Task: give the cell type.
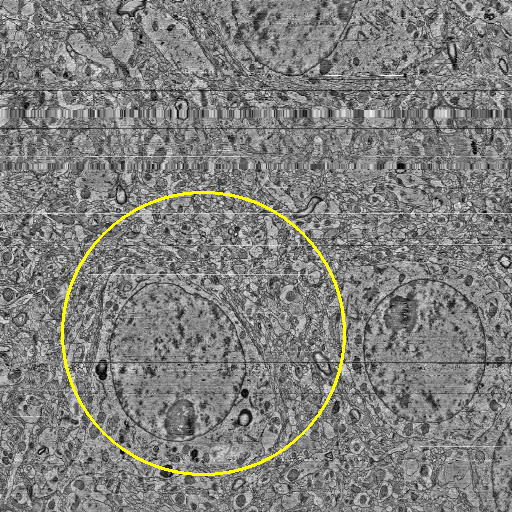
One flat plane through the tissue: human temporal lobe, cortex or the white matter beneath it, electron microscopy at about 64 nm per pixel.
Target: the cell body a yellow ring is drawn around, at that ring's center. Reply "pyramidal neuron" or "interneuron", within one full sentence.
In this picture, the cell whose body lies at the ring's center is a pyramidal neuron.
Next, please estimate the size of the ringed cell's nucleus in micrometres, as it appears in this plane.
Roughly 11 by 9 micrometres is the size of the nucleus in this plane.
